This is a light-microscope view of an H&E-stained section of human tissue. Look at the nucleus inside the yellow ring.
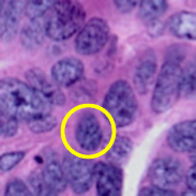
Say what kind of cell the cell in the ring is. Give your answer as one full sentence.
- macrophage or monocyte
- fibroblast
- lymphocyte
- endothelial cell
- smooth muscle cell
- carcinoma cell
This is a carcinoma cell.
